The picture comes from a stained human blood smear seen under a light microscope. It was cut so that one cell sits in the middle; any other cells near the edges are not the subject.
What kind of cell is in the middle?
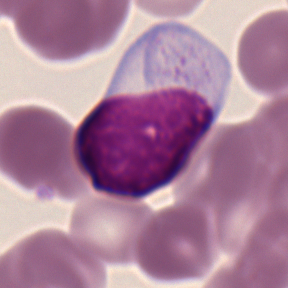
large granular lymphocyte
